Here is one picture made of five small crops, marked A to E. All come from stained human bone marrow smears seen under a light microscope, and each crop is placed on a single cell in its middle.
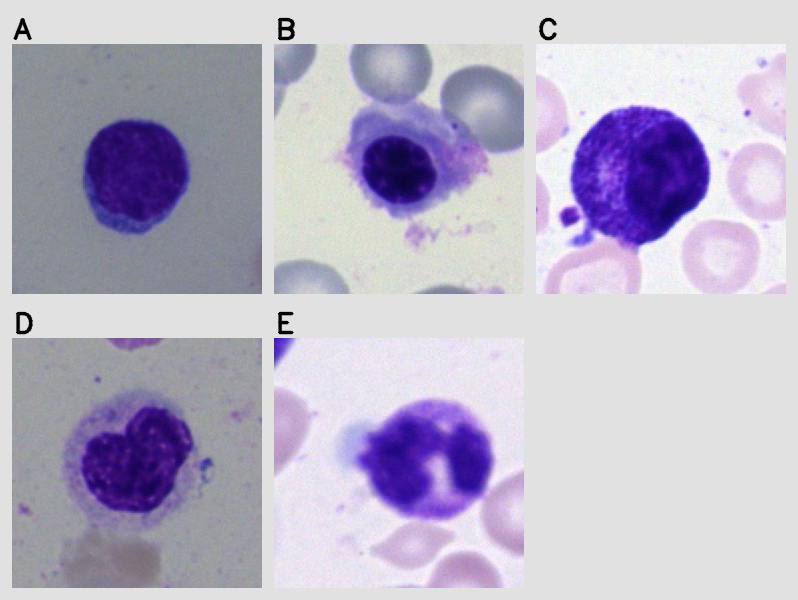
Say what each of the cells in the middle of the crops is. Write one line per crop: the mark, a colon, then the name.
A: lymphocyte
B: erythroblast
C: promyelocyte
D: metamyelocyte
E: segmented neutrophil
